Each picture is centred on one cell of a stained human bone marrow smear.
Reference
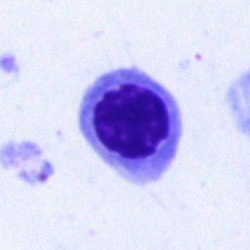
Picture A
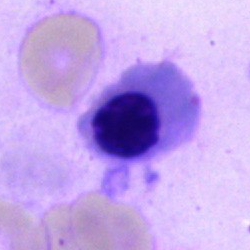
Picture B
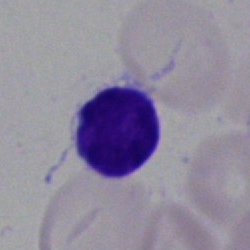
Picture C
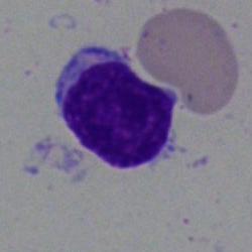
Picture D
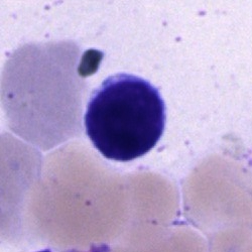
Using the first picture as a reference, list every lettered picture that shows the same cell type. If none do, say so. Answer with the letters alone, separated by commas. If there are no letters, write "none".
A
